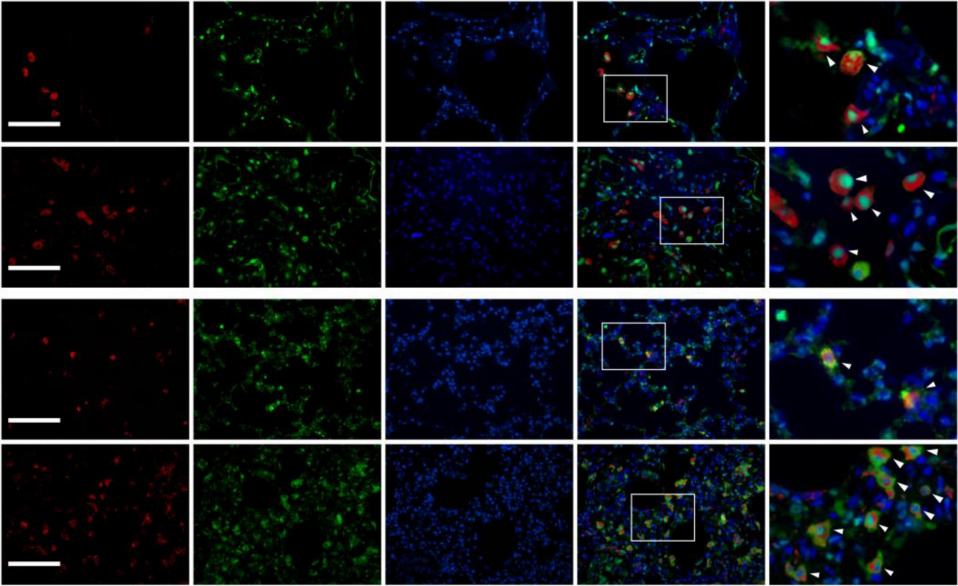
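Lung tissue is shown, with thin alveolar walls full of blue nuclei and scattered rounded macrophages. The macrophages are large, round to oval cells with red-stained cytoplasm around a central or eccentric blue nucleus, and many also carry green staining that overlaps the red as yellow to orange. In the enlarged images, arrowheads mark these round cells lying singly or in small groups among the alveolar septa. In some rows the red rounded cells are much more numerous and packed more densely than in others.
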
